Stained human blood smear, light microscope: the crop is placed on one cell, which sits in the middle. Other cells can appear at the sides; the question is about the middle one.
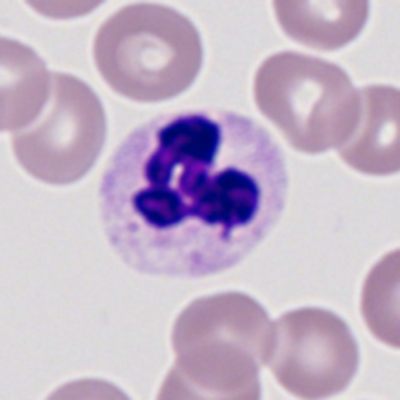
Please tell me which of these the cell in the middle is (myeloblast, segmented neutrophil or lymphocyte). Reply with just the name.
segmented neutrophil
